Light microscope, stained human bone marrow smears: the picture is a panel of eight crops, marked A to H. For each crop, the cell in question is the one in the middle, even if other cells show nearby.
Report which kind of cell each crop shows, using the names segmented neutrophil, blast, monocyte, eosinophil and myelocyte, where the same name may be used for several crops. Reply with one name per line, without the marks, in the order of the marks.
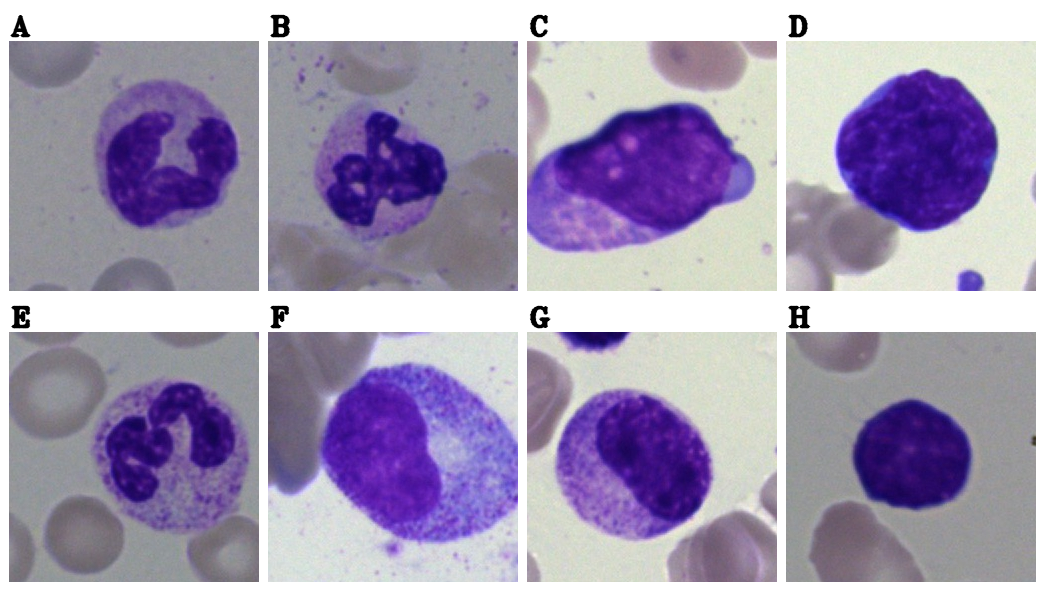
segmented neutrophil
segmented neutrophil
blast
blast
segmented neutrophil
myelocyte
myelocyte
blast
